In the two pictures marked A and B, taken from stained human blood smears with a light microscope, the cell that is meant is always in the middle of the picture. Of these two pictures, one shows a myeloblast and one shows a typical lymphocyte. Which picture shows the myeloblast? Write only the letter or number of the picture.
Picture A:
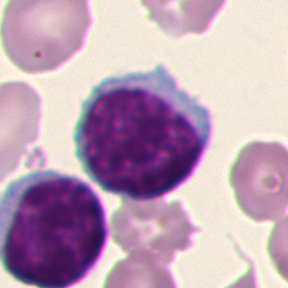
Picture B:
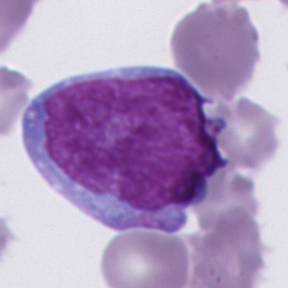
B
